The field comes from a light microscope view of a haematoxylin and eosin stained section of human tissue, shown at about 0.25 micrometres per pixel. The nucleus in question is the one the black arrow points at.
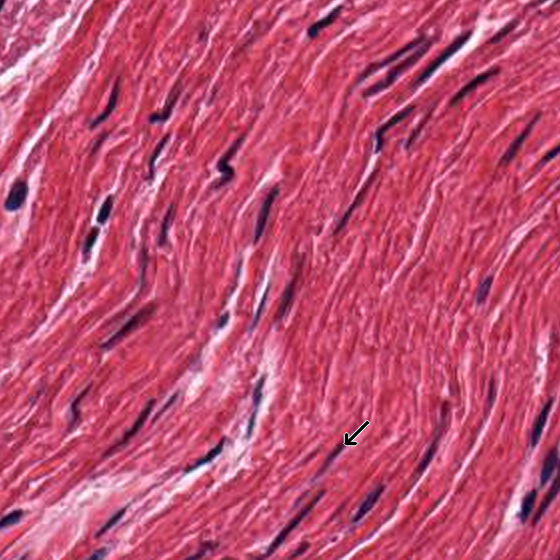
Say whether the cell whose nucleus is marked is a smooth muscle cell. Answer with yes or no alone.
yes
